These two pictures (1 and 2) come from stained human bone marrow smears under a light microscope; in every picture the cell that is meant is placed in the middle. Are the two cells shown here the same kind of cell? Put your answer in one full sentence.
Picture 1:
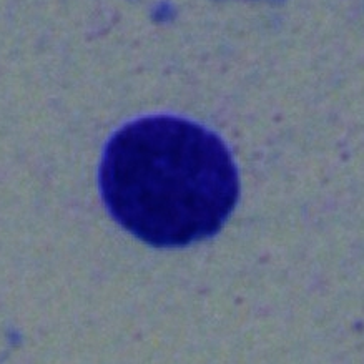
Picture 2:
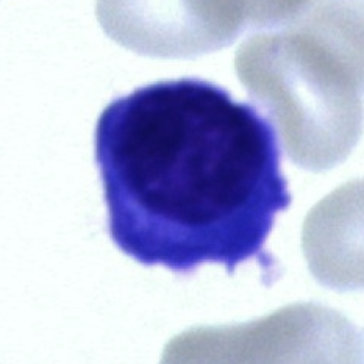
No, the types are not the same, since picture 1 shows a lymphocyte and picture 2 a plasma cell.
